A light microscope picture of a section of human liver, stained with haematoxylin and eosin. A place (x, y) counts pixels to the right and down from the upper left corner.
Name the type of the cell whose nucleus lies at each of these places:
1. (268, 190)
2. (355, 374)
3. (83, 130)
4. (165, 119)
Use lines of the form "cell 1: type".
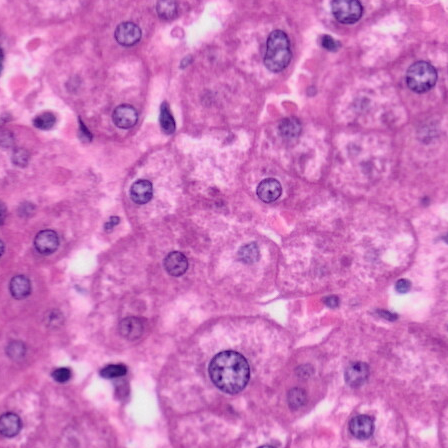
cell 1: hepatocyte
cell 2: hepatocyte
cell 3: endothelial cell
cell 4: Kupffer cell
